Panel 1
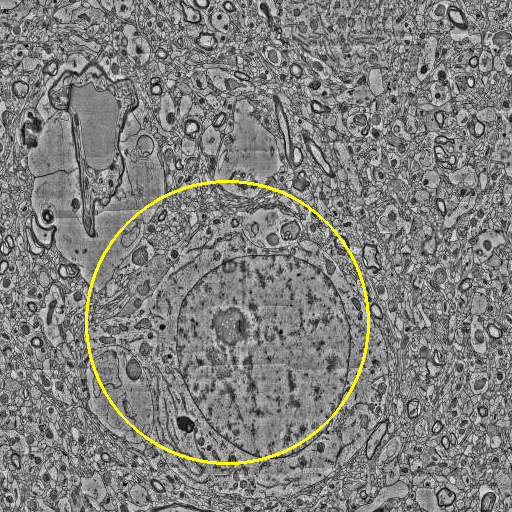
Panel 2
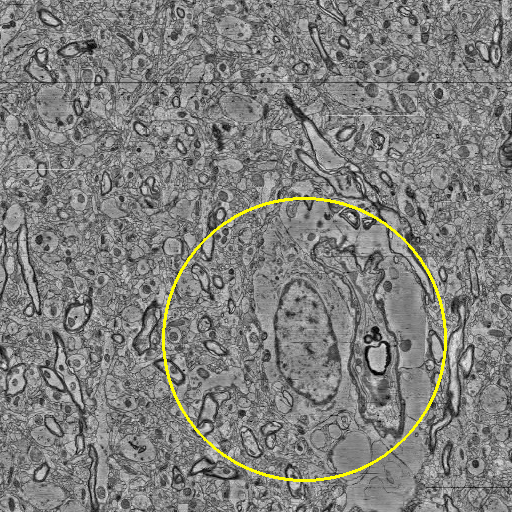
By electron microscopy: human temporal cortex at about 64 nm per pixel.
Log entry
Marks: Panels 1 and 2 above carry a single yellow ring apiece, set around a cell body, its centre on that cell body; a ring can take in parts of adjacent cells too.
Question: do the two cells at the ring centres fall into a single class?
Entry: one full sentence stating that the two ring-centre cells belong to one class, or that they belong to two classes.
The two ring-centre cells in Panels 1 and 2 belong to two classes.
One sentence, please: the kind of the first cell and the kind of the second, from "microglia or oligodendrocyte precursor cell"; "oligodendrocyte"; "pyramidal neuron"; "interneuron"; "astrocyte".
The ring in the first picture surrounds a pyramidal neuron, and the ring in the second surrounds a microglial cell or oligodendrocyte precursor cell.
